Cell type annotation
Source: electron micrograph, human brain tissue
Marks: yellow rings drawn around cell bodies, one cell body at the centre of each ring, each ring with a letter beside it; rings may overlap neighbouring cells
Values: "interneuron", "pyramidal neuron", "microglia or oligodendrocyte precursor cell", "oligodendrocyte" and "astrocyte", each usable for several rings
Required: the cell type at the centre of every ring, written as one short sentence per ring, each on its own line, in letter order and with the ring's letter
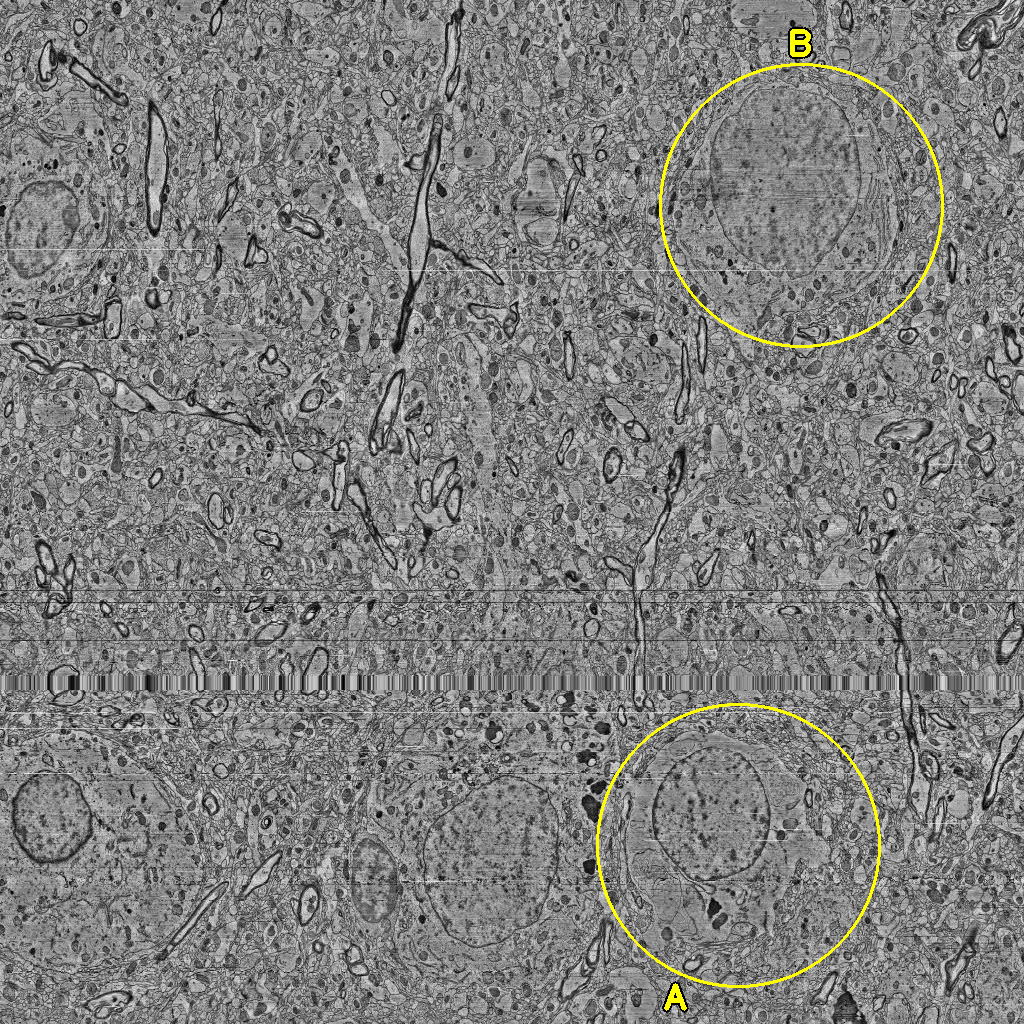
Ring A is annotated as an astrocyte.
Ring B is annotated as an interneuron.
